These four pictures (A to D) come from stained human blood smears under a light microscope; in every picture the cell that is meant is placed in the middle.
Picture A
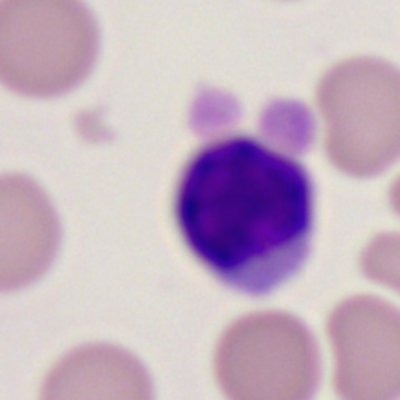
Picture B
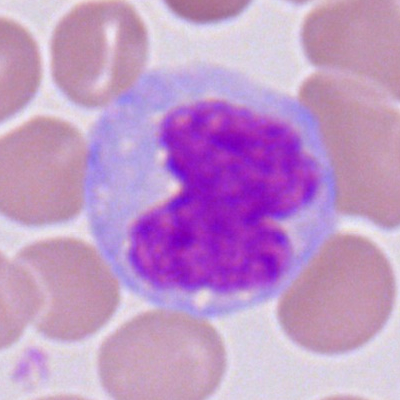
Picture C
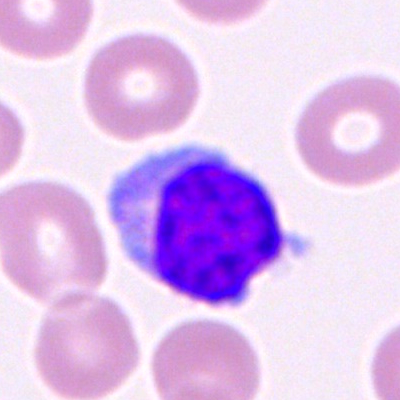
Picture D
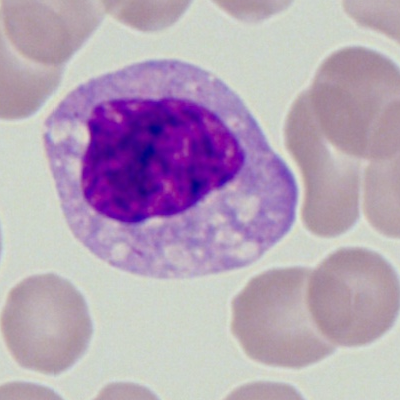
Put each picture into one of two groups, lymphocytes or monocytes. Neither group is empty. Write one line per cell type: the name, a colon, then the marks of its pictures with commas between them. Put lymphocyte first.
lymphocyte: A, C
monocyte: B, D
